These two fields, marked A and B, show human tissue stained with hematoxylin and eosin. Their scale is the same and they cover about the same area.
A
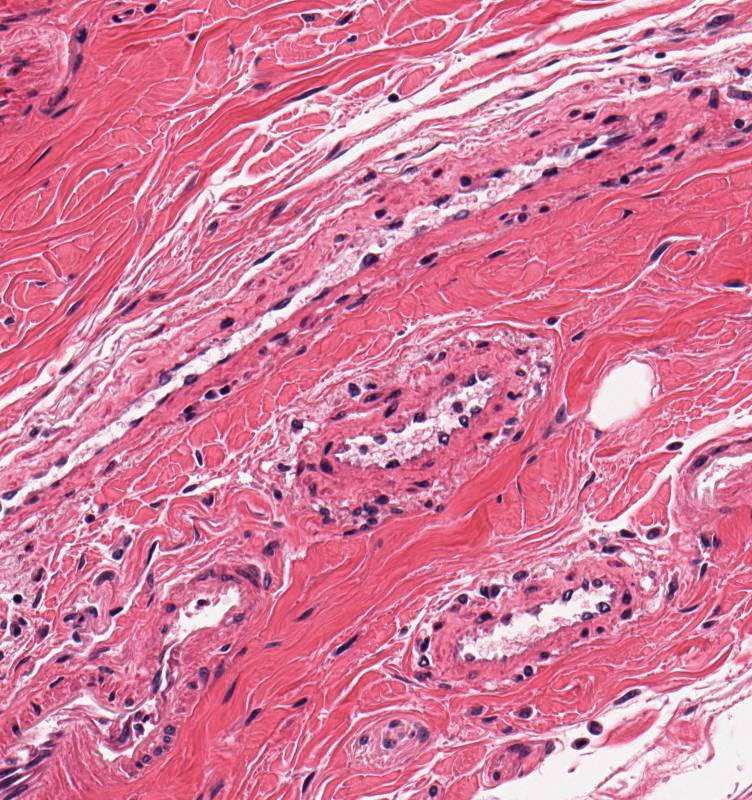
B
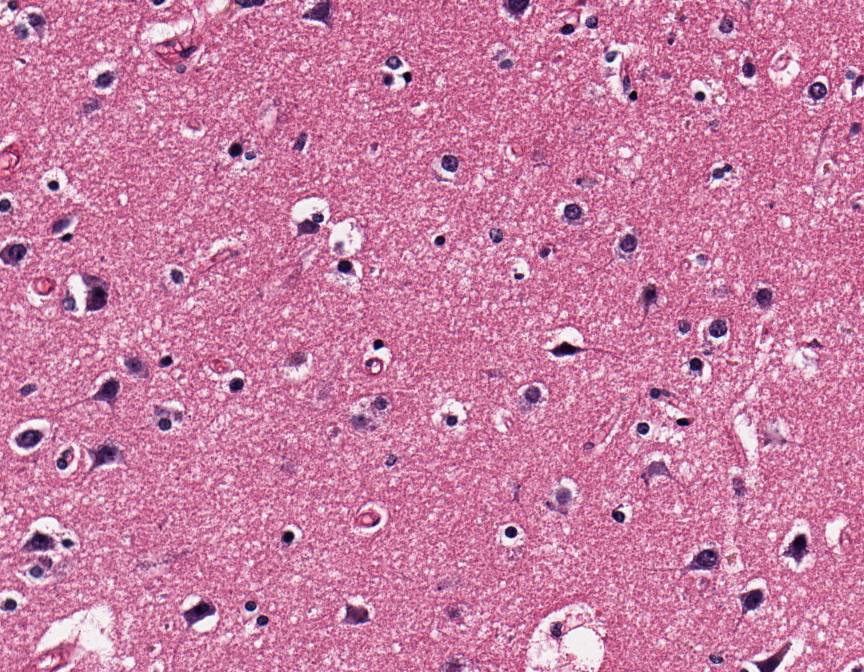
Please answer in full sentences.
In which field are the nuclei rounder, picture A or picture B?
On the whole the nuclei of picture B are rounder than those of picture A.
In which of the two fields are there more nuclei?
The larger number of nuclei is in picture A.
